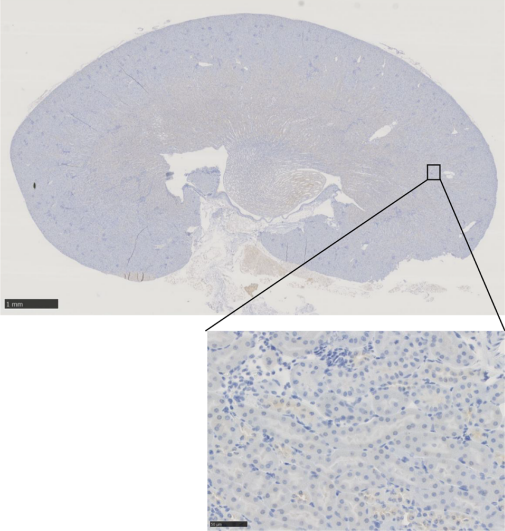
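Kidney section showing outer cortex and radially striated medulla around a papilla, almost uniformly blue-grey with little brown stain. In the magnified inset, closely packed tubules lined by cuboidal cells with round blue nuclei show at most a faint brown tint.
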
